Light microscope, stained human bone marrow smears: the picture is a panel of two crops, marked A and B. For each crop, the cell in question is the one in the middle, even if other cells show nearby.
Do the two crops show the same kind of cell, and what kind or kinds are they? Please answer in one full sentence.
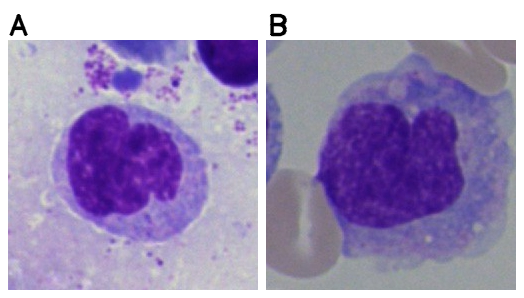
Yes, monocytes are at the centre in both crops.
